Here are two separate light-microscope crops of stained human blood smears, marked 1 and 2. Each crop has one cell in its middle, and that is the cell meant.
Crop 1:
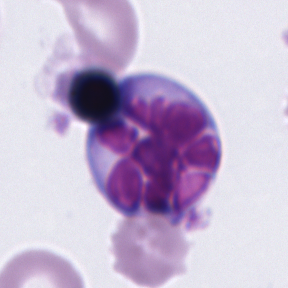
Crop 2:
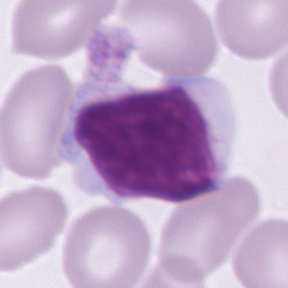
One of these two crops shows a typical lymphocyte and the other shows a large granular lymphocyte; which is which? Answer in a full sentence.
Crop 2 shows a large granular lymphocyte, and crop 1 shows a typical lymphocyte.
